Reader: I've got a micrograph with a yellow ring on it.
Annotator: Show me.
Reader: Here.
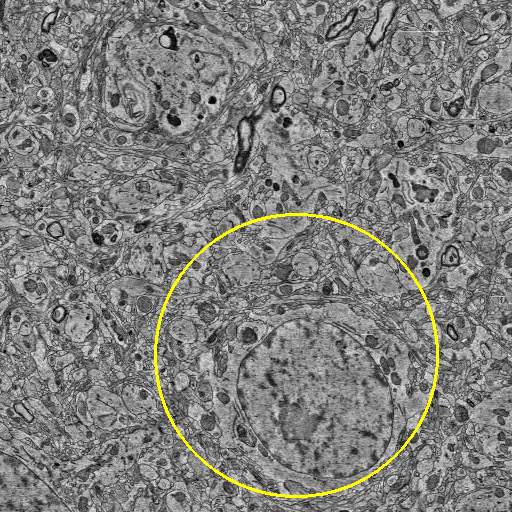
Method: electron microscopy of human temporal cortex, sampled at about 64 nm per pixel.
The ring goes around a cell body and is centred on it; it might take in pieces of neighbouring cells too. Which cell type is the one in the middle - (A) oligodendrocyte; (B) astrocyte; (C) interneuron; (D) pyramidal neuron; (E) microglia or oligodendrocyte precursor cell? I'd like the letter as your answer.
B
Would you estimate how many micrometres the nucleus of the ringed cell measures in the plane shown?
The nucleus measures about 11 by 9 micrometres in this plane.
